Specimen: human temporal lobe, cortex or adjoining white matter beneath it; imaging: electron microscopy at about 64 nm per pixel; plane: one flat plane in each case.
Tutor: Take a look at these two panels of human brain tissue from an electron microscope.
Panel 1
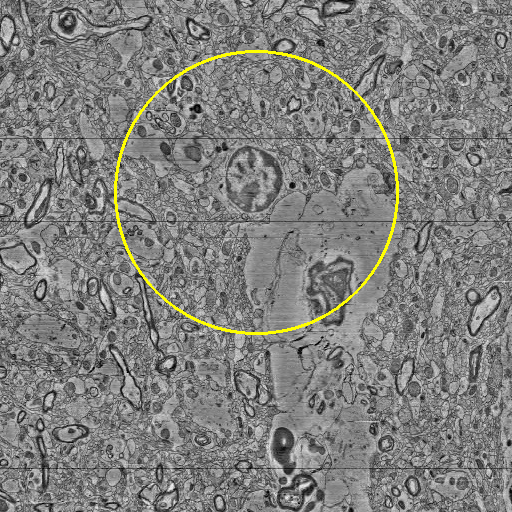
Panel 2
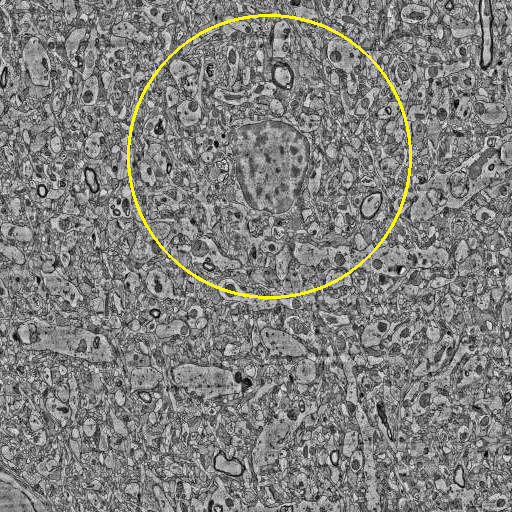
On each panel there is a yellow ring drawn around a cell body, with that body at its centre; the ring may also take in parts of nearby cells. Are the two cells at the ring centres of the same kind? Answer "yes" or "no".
yes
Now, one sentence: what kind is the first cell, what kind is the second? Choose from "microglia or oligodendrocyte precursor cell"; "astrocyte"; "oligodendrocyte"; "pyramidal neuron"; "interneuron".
In the first picture and in the second, the ring is centred on a microglial cell or oligodendrocyte precursor cell.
